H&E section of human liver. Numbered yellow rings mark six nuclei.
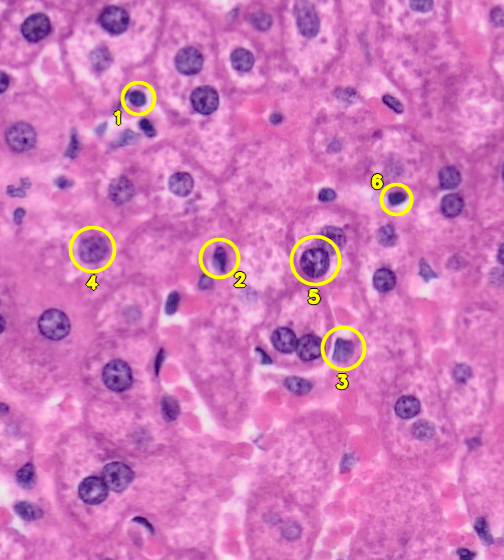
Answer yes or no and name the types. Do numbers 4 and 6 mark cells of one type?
No, the cell at number 4 is a hepatocyte, and the cell at number 6 is a lymphocyte.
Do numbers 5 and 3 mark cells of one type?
No, cell 3 is an endothelial cell, whereas cell 5 is a hepatocyte.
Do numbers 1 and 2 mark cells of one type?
No, the cell marked 1 is a lymphocyte, and the cell marked 2 is a fibroblast or stellate cell.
